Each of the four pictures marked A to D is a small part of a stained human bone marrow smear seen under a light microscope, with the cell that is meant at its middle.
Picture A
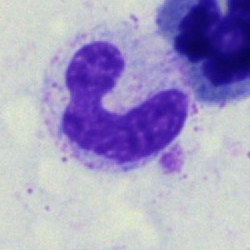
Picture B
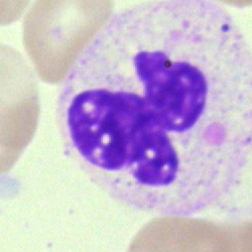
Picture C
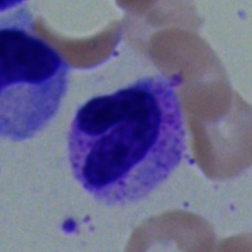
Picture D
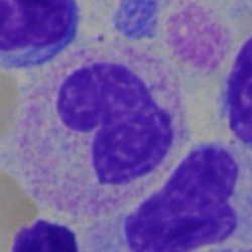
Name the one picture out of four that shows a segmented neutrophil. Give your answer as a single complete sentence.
Picture B shows the segmented neutrophil.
